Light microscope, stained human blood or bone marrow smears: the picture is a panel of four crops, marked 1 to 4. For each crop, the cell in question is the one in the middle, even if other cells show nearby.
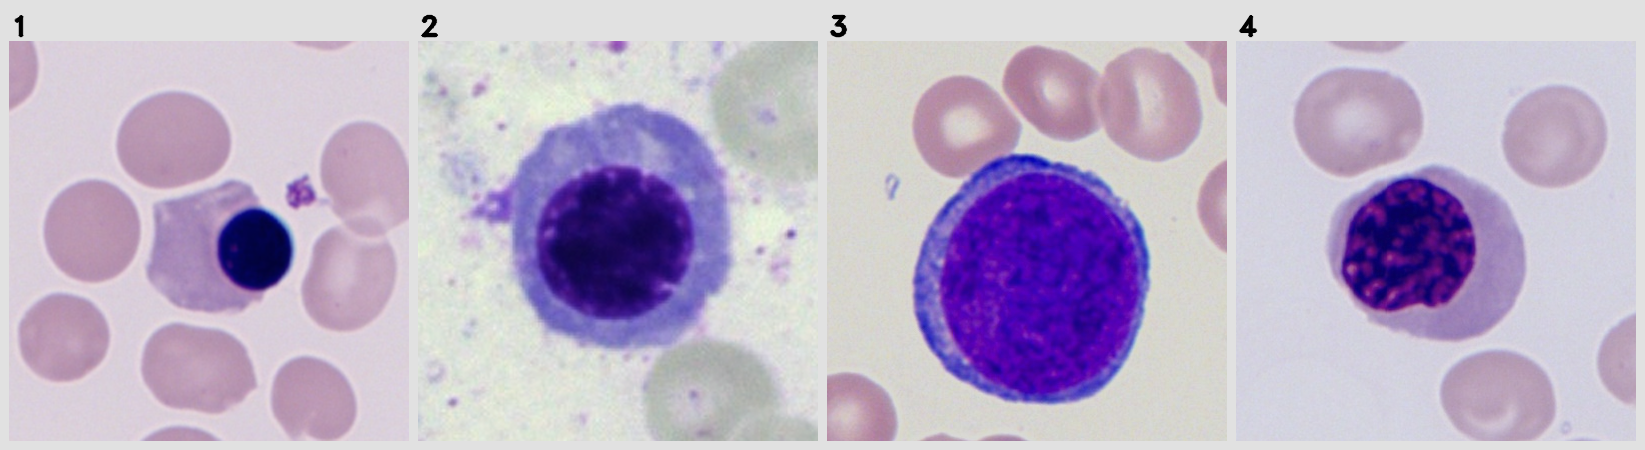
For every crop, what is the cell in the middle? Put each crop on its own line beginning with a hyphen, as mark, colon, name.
- 1: erythroblast
- 2: erythroblast
- 3: blast
- 4: erythroblast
